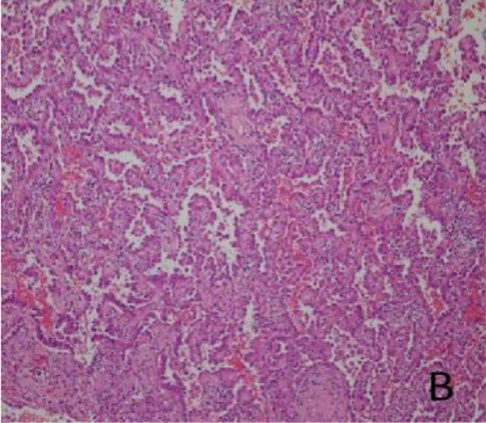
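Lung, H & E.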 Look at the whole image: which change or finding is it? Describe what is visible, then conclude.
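Papillary adenocarcinoma. Crowded branching fronds of epithelial cells fill the field. Fronds are separated by narrow slit-like spaces. Pink stromal cores run within the fronds, with red blood cells in places.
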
